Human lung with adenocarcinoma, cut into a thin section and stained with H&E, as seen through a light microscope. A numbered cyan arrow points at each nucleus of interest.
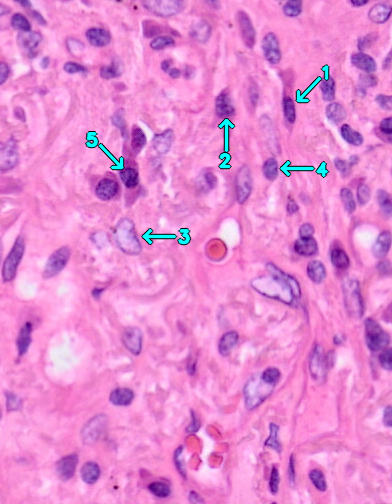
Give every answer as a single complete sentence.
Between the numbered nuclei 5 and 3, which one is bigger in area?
At about 2 times the area of nucleus 5, nucleus 3 is the larger of the two.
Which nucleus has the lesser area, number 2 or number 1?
The smaller nucleus is 1, and 2 covers roughly 1.5 times its area.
